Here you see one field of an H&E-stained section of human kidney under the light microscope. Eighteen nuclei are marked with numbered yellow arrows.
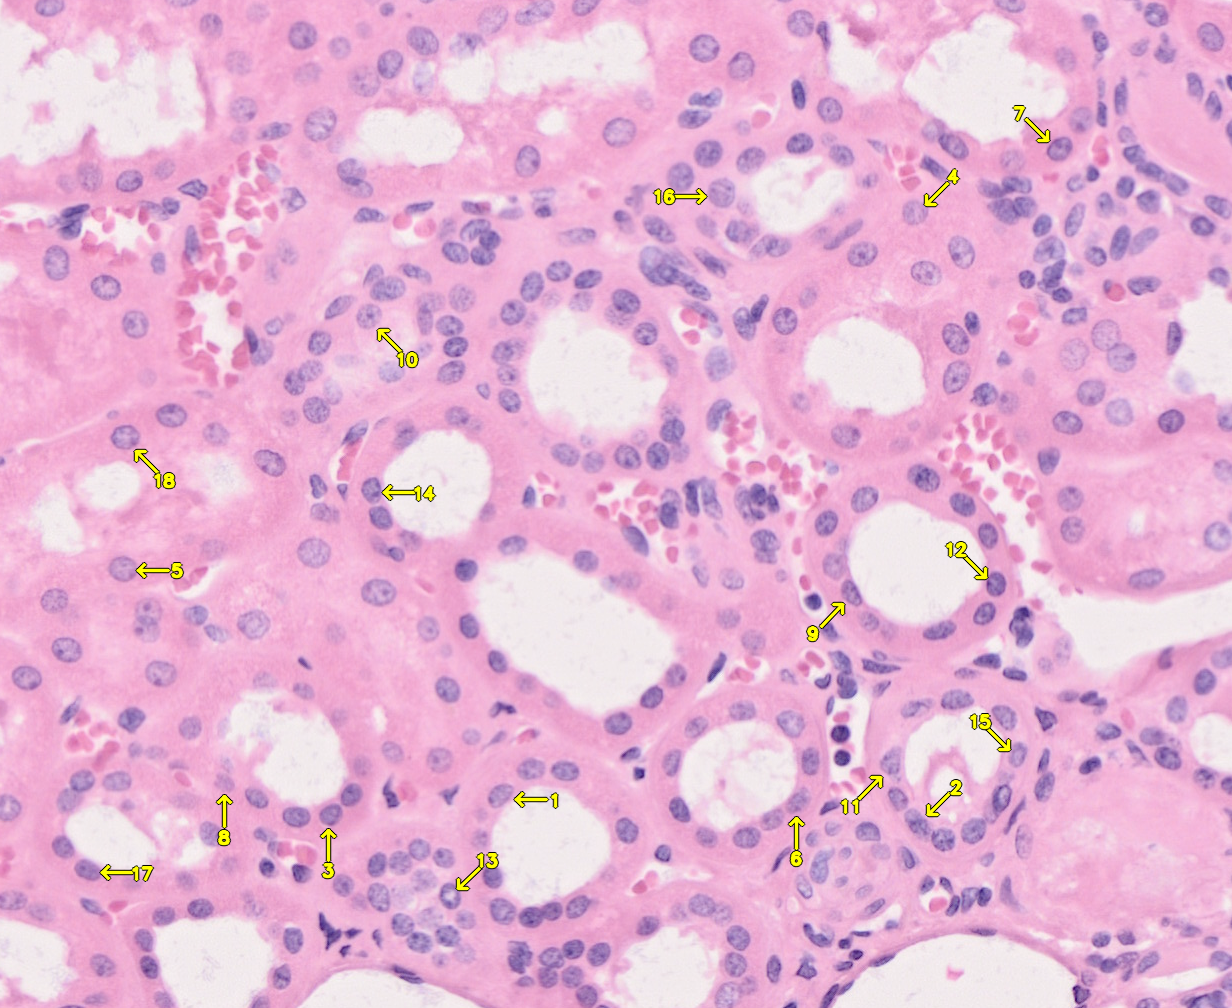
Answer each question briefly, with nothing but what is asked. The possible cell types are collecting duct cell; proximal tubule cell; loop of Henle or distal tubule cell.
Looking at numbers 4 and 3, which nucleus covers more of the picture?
4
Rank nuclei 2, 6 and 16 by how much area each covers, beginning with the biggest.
16, 2, 6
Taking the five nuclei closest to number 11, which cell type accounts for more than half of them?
collecting duct cell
